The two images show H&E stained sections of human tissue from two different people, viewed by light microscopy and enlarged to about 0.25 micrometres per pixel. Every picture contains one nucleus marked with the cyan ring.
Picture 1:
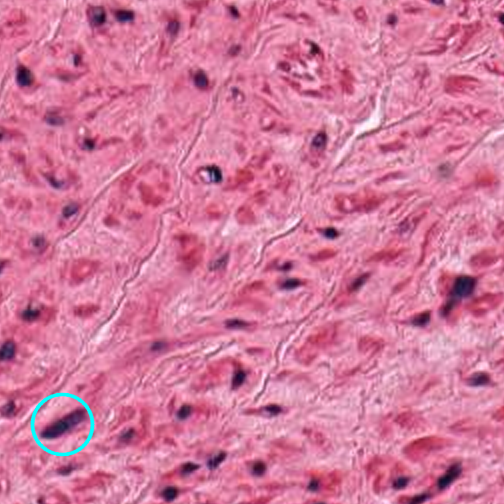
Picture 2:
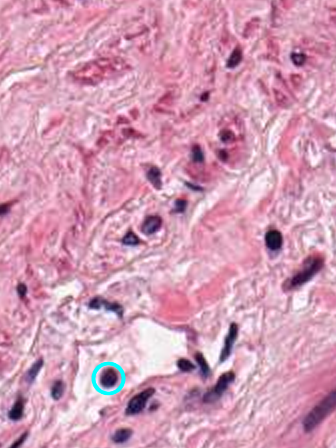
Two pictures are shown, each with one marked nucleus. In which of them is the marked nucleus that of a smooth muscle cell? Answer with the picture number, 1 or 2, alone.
1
